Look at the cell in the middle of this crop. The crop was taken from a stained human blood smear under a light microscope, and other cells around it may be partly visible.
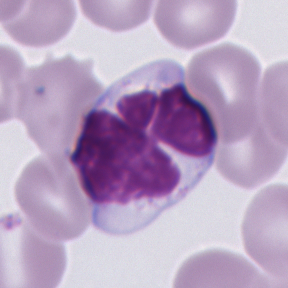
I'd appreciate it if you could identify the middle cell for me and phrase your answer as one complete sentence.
The cell shown in the center of this light-microscope crop is a large granular lymphocyte.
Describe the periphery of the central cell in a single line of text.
The edge of the cell is unbroken and smooth, bearing no projections.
